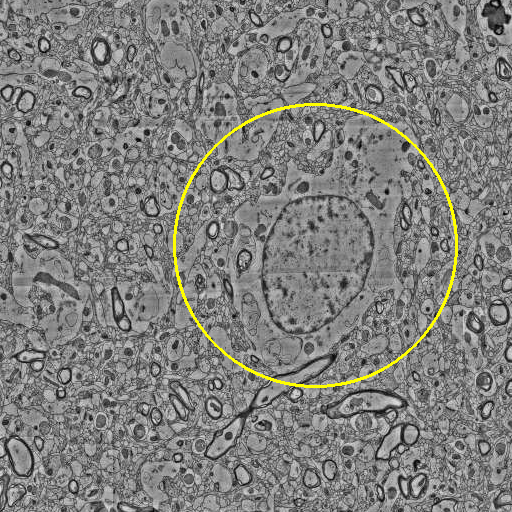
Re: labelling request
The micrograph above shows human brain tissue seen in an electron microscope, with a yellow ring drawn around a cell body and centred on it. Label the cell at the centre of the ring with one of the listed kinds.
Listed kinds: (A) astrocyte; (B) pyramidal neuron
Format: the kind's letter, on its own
A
